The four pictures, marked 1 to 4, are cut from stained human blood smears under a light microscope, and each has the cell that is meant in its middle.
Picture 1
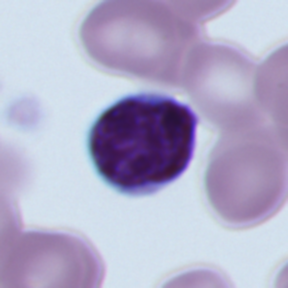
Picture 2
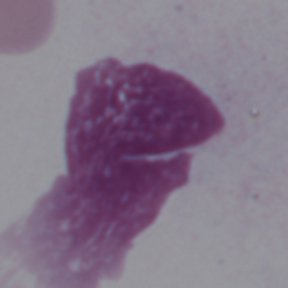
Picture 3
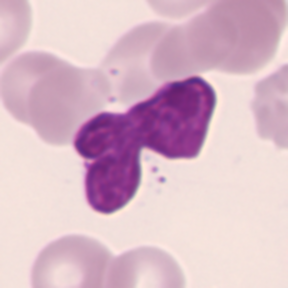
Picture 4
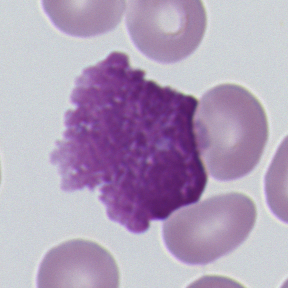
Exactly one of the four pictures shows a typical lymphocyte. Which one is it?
1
